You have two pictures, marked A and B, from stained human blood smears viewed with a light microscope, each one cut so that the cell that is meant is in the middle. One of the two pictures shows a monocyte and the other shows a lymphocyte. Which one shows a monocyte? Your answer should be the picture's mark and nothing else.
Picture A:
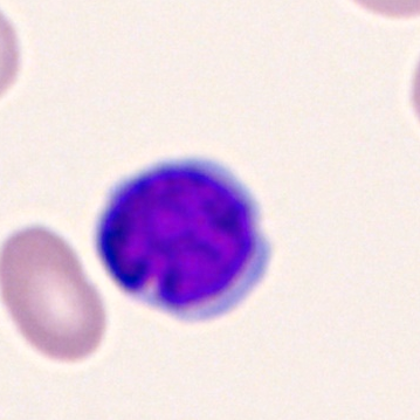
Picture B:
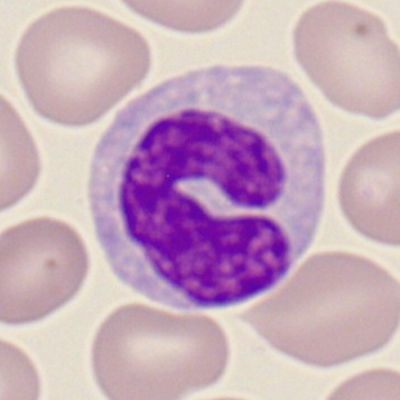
B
